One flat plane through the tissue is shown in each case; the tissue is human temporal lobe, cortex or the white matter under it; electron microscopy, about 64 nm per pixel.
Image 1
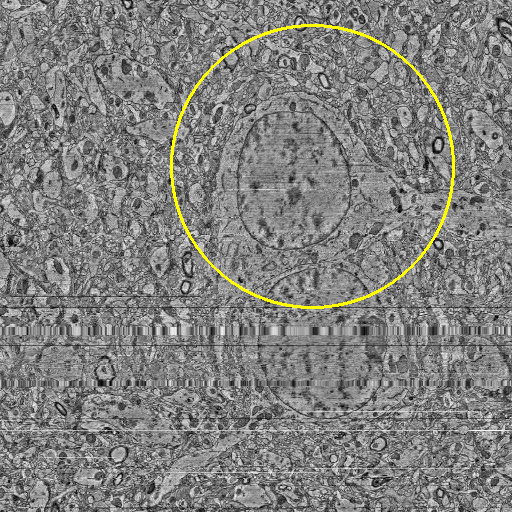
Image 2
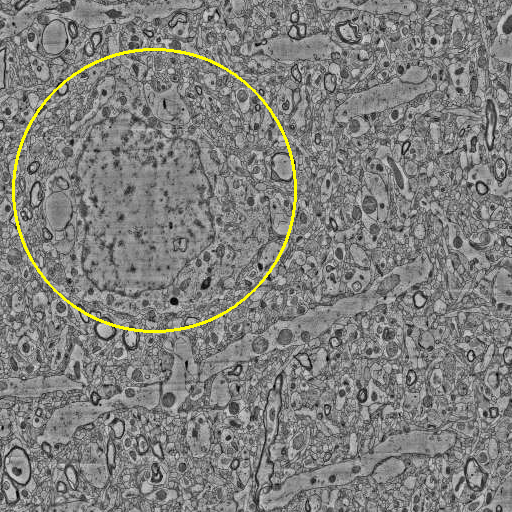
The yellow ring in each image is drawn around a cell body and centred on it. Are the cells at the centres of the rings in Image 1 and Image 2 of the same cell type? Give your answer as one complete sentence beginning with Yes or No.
No, the two cells are of two separate types.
